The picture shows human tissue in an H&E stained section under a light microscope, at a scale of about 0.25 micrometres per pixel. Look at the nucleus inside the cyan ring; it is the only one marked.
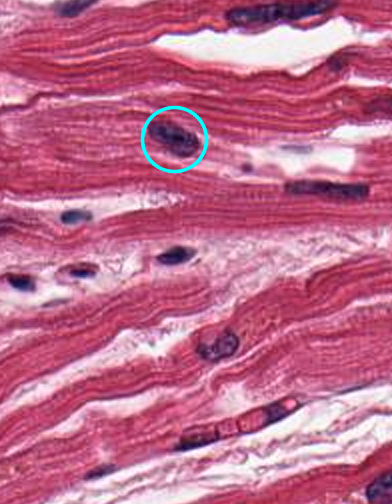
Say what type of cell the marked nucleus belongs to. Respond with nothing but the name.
cardiomyocyte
